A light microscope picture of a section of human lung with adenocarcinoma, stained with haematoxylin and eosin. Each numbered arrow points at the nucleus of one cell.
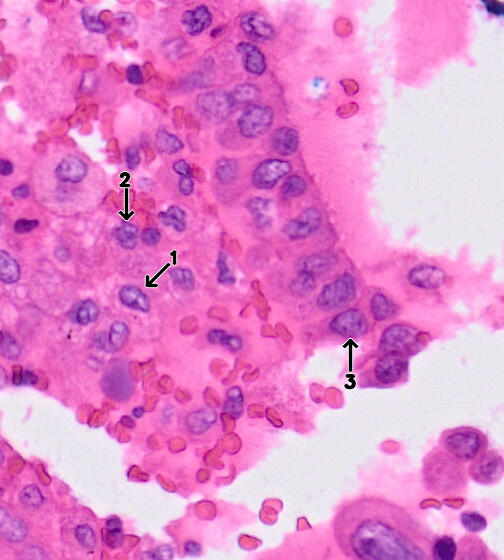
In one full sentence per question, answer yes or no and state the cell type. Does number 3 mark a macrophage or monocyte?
No, as for cell 3, it is a carcinoma cell and not a macrophage or monocyte.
